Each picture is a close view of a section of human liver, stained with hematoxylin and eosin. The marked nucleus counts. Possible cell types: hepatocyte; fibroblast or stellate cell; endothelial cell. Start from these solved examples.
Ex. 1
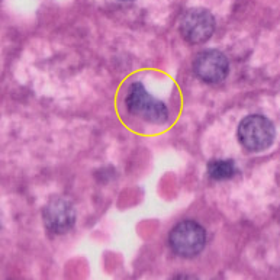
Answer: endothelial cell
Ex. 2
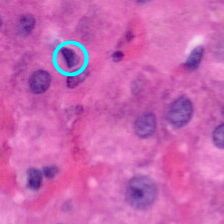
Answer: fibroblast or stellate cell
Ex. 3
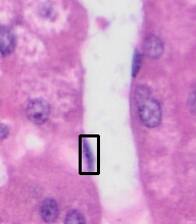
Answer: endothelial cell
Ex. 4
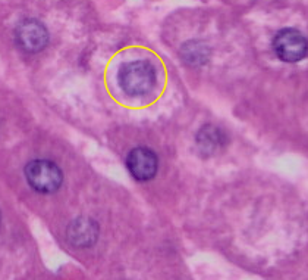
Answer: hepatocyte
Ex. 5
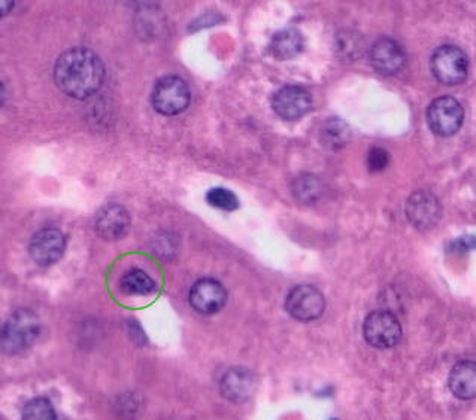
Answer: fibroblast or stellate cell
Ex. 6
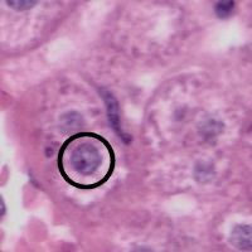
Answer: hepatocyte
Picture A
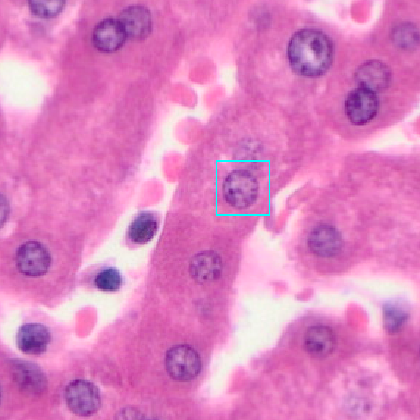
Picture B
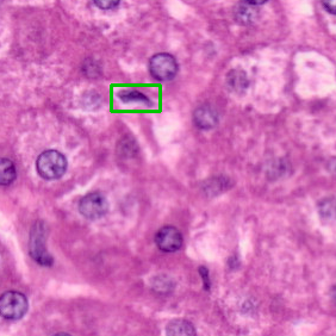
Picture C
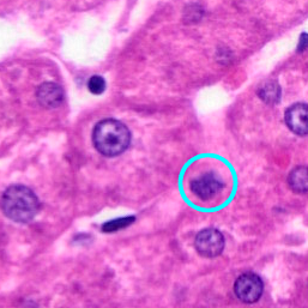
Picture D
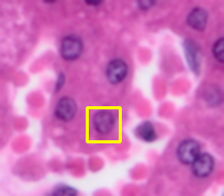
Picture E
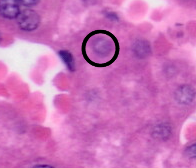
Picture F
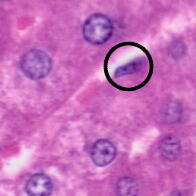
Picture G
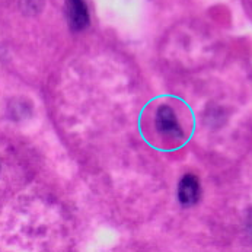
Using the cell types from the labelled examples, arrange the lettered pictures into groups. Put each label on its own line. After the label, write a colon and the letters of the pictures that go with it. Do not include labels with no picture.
hepatocyte: A, D, E
endothelial cell: B, C, F, G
